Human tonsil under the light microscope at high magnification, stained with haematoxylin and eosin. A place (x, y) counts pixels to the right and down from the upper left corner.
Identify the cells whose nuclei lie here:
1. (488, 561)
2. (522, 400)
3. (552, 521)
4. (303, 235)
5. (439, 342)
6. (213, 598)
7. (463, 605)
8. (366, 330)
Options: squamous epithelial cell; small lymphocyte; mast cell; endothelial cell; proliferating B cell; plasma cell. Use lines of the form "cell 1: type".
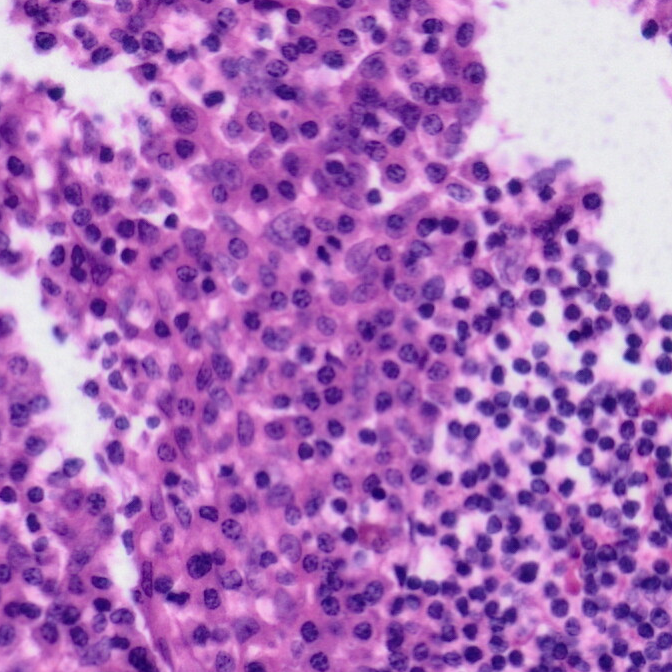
cell 1: small lymphocyte
cell 2: small lymphocyte
cell 3: small lymphocyte
cell 4: plasma cell
cell 5: plasma cell
cell 6: plasma cell
cell 7: small lymphocyte
cell 8: plasma cell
